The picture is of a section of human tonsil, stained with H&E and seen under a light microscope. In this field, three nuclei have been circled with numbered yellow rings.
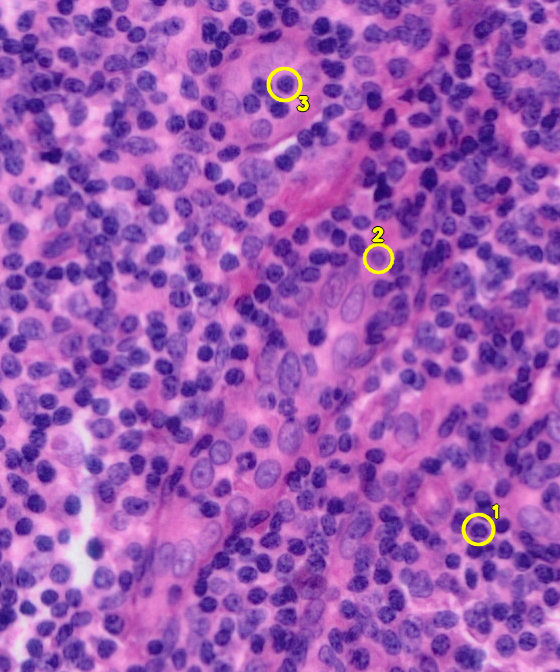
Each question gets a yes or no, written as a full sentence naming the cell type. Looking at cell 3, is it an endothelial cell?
Yes, regarding number 3, the cell is an endothelial cell.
